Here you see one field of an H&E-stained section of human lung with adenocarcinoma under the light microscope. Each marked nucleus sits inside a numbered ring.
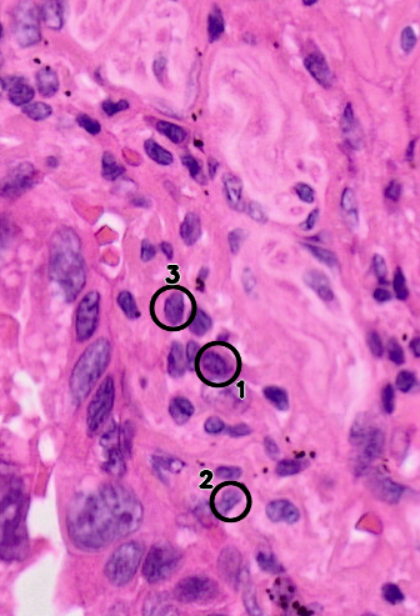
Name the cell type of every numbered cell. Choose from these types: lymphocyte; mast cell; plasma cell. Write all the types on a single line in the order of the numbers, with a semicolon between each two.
plasma cell; lymphocyte; lymphocyte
